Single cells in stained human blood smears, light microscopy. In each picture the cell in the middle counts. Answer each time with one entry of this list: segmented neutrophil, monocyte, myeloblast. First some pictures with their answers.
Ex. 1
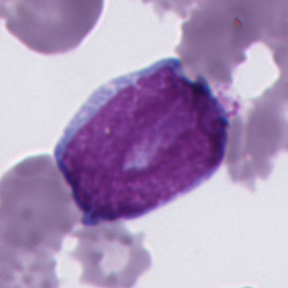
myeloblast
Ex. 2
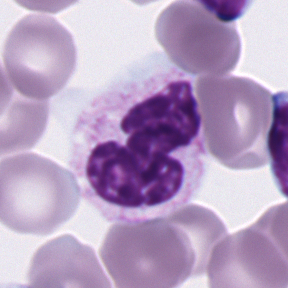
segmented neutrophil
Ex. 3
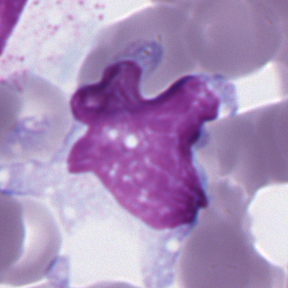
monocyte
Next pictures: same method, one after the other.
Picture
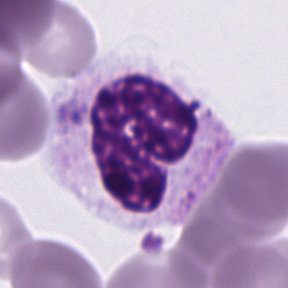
segmented neutrophil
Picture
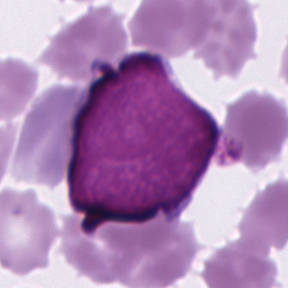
myeloblast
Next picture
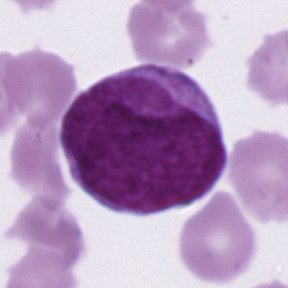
myeloblast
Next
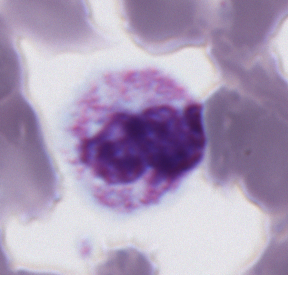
segmented neutrophil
